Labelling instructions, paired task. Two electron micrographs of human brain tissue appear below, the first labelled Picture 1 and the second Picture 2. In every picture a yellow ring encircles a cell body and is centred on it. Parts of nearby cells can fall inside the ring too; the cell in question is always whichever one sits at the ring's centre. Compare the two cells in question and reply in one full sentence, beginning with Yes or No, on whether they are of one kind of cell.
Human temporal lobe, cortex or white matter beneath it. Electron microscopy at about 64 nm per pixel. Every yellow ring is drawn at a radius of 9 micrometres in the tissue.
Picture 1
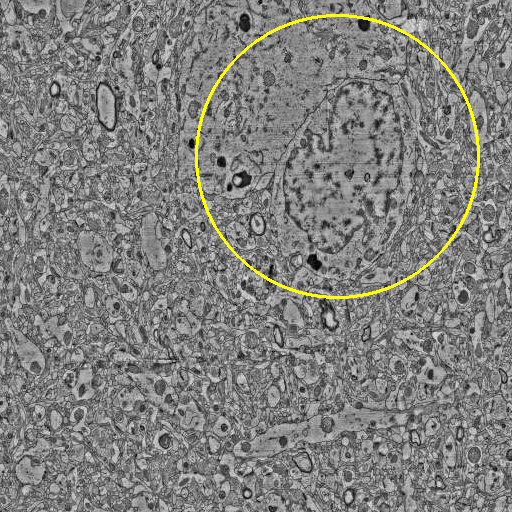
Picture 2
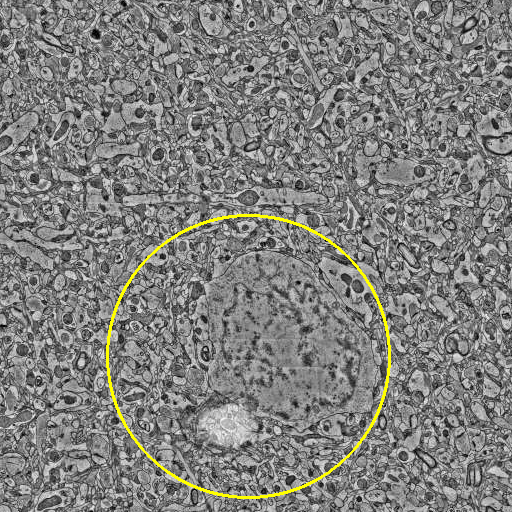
Yes, the two cells at the ring centres in Picture 1 and Picture 2 are of one kind.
